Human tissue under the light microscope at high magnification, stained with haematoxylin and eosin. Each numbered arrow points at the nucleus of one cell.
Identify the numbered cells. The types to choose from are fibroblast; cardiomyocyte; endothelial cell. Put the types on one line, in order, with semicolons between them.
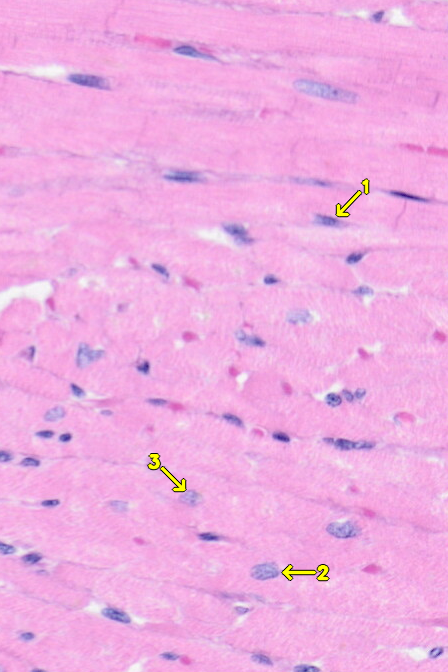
endothelial cell; cardiomyocyte; cardiomyocyte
